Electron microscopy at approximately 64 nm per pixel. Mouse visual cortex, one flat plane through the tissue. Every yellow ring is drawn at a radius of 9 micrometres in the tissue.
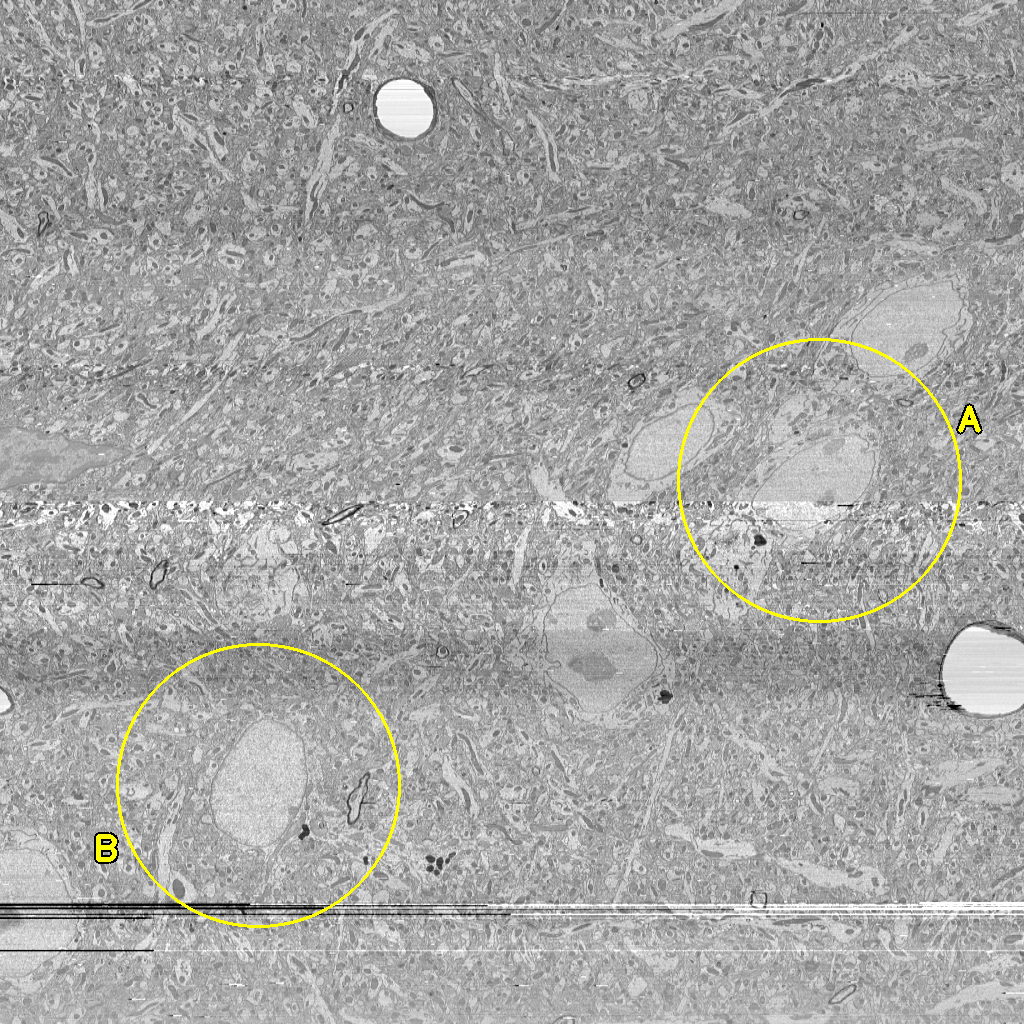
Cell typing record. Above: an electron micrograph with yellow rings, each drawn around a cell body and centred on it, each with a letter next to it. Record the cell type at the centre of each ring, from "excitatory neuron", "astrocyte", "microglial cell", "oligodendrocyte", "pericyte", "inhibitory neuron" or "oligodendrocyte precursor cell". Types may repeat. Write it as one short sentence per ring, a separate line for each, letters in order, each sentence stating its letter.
Ring A circles an excitatory neuron.
Ring B circles an astrocyte.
